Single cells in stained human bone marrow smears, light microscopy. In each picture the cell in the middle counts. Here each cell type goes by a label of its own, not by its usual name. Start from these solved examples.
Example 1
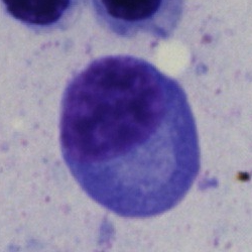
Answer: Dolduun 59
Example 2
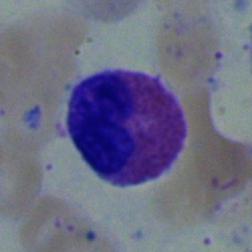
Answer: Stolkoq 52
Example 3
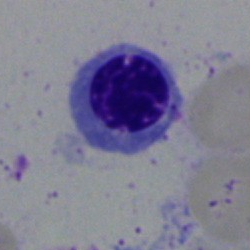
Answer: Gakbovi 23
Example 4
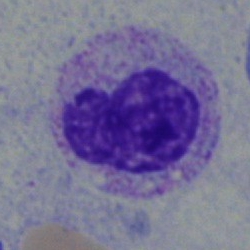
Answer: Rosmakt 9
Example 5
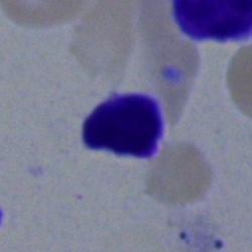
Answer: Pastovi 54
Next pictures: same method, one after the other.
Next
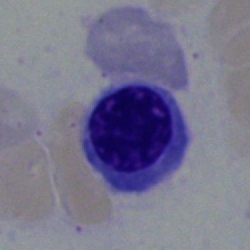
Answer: Gakbovi 23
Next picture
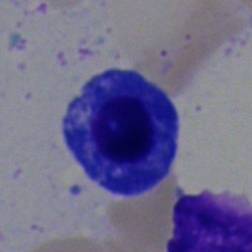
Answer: Dolduun 59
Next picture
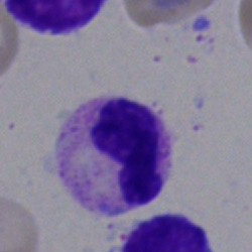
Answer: Rosmakt 9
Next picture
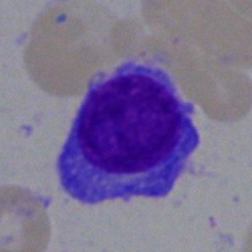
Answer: Dolduun 59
